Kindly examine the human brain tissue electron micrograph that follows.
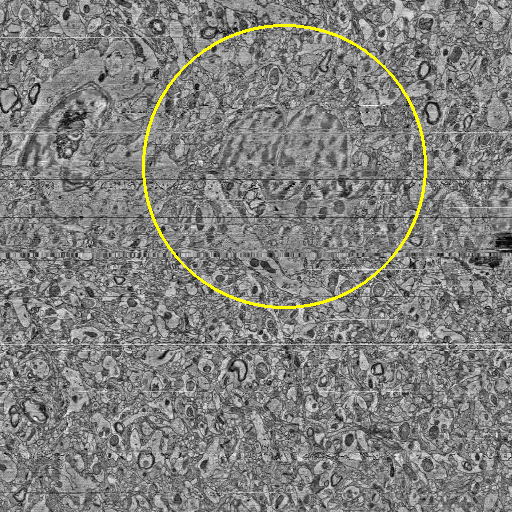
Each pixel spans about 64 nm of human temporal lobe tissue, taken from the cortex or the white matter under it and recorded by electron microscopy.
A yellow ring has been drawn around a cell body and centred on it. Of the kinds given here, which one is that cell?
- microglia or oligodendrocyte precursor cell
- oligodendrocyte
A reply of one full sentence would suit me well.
The micrograph's ringed cell, the one at the ring's centre, is an oligodendrocyte.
